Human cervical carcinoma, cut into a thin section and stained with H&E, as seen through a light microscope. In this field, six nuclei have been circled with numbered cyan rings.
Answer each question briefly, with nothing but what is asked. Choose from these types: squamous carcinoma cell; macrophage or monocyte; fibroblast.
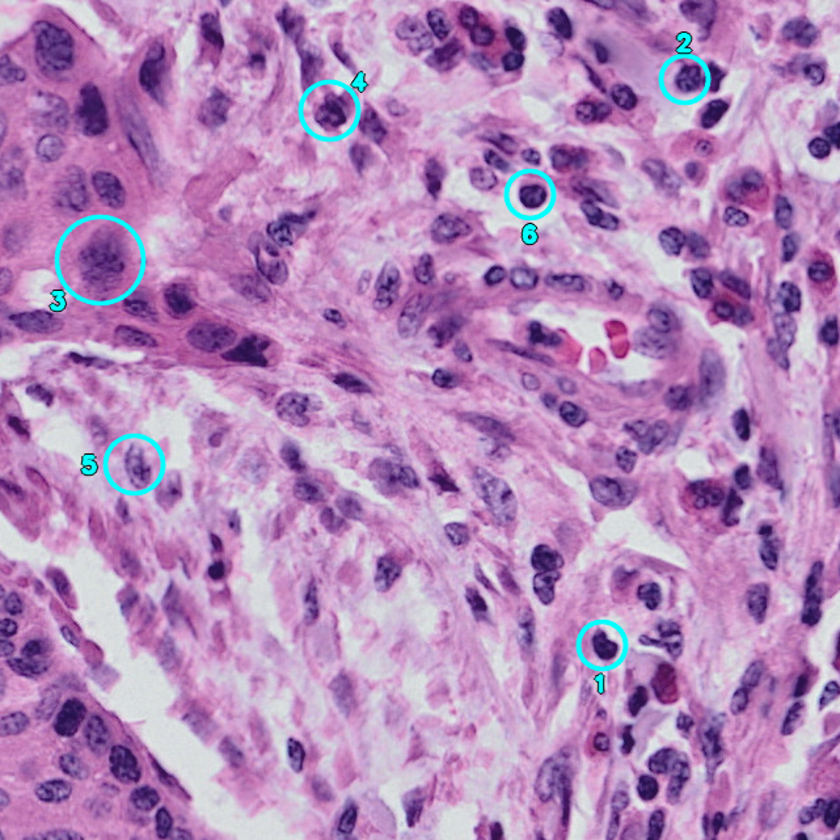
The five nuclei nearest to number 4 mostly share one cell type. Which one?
fibroblast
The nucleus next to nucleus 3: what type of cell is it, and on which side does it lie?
a squamous carcinoma cell below and to the right of nucleus 3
